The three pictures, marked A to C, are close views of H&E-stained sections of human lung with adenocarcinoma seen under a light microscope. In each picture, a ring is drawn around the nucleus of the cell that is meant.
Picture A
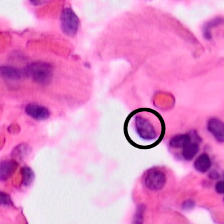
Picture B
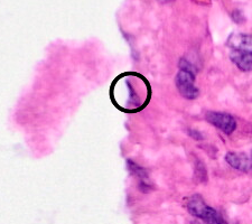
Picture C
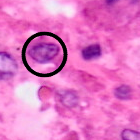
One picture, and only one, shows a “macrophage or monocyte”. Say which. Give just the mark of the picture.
C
